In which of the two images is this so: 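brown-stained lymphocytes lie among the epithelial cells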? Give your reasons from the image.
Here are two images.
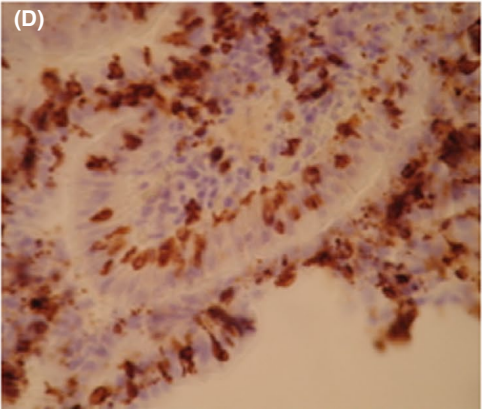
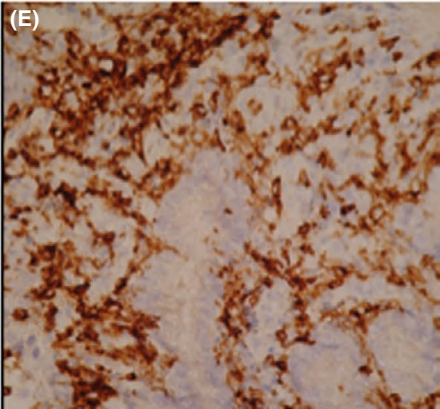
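Second image: the epithelial lining of the gland is mostly free of brown cells, which crowd the surrounding stroma. First image: brown cells are scattered within the row of columnar epithelial cells. That points to this answer: the first image.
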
